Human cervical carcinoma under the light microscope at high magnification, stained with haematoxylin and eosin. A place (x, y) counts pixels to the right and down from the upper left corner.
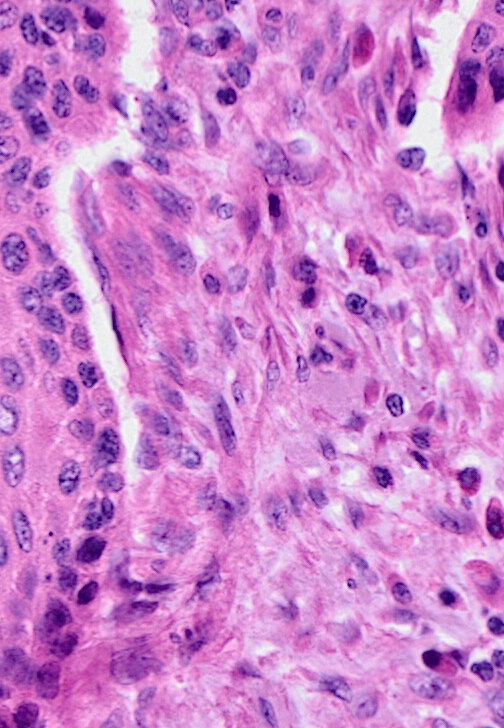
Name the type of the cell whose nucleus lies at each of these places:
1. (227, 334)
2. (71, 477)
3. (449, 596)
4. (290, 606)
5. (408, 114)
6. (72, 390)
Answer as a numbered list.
1. fibroblast
2. squamous carcinoma cell
3. lymphocyte
4. fibroblast
5. lymphocyte
6. squamous carcinoma cell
